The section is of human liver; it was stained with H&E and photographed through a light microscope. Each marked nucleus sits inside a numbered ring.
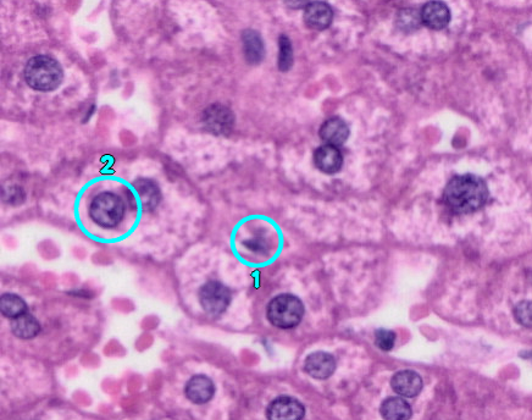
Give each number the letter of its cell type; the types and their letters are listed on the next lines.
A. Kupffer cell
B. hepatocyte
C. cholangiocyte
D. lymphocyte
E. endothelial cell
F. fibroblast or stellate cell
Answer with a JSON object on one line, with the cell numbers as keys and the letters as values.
{"1": "E", "2": "B"}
